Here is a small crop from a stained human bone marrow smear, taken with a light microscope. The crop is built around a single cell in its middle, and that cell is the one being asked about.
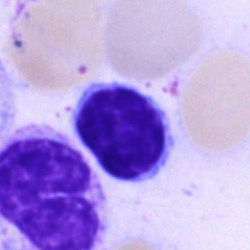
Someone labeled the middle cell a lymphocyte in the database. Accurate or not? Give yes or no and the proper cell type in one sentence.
Yes, the centred cell is categorised as a lymphocyte.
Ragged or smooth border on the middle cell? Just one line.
The border of this cell runs smooth and free of any projections.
